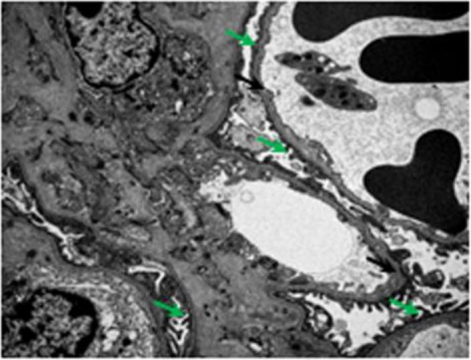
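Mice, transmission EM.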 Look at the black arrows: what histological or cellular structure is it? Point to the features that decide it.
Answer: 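The arrows point at a thin grey band lining a capillary lumen that holds dark red blood cells. So: glomerular basement membrane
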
